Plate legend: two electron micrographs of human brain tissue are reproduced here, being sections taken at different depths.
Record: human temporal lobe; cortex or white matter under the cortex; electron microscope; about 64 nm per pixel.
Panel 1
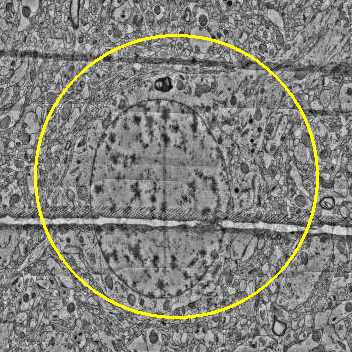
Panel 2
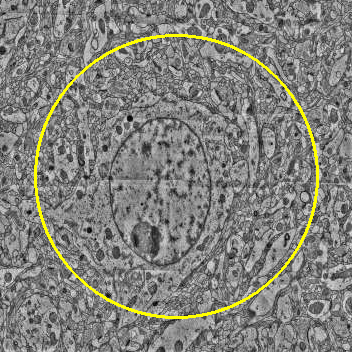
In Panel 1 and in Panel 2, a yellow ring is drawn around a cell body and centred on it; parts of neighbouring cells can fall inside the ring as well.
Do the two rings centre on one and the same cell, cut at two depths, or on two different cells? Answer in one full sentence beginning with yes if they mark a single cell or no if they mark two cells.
Yes, both yellow rings were placed on the same cell.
